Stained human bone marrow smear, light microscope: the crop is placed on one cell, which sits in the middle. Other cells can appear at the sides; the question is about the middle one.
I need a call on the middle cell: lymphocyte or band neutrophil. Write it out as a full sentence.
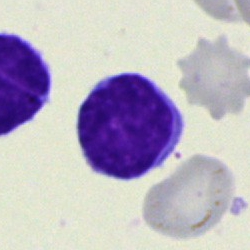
In the crop, the cell of interest at the centre is a lymphocyte.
